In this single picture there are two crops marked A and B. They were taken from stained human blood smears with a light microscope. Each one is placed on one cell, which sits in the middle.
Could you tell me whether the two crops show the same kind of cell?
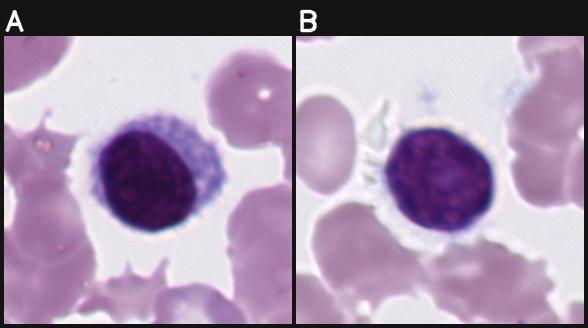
yes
